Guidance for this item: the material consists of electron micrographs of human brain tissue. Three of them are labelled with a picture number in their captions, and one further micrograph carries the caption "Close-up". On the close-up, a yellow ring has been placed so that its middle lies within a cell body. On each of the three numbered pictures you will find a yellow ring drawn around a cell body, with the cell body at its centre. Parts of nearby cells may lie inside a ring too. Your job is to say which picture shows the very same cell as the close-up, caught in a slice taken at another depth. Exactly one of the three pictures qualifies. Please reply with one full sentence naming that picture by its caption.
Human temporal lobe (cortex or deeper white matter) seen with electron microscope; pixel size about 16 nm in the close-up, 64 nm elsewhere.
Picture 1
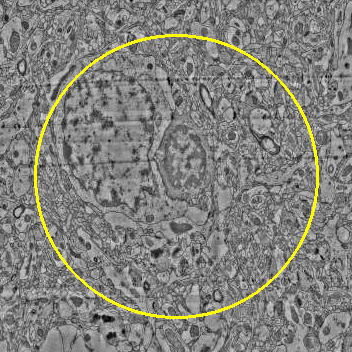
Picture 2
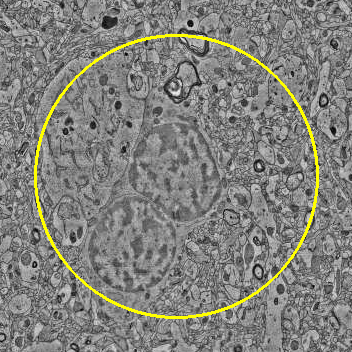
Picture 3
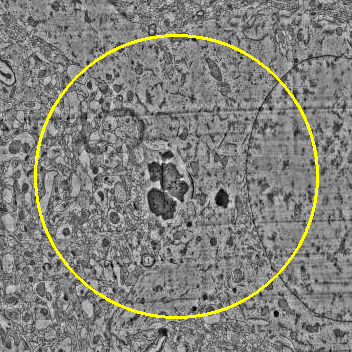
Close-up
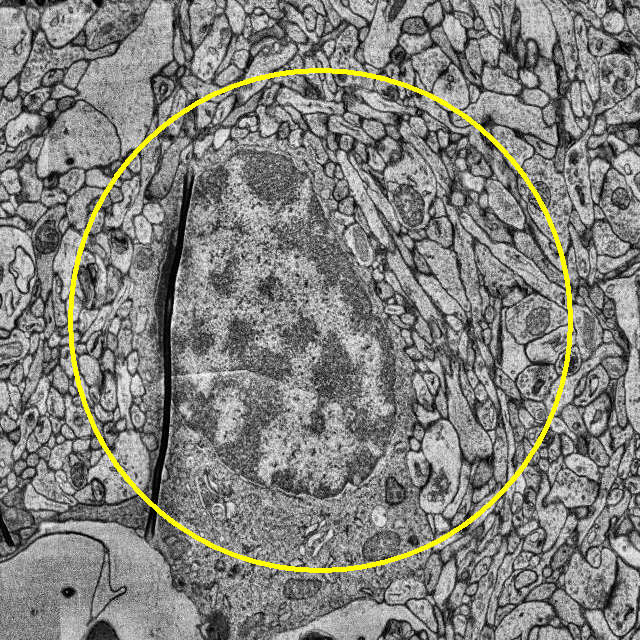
The cell under magnification is the ringed one in Picture 1.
